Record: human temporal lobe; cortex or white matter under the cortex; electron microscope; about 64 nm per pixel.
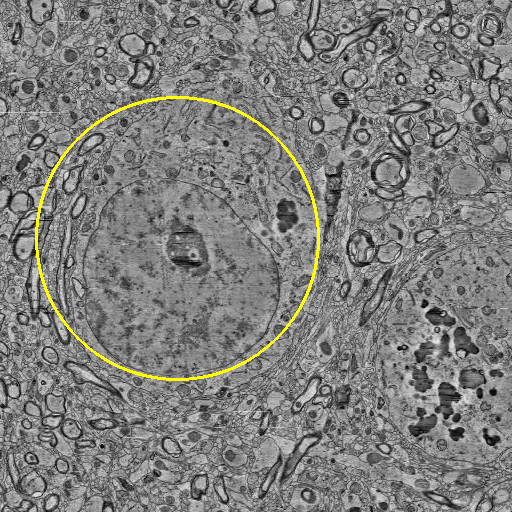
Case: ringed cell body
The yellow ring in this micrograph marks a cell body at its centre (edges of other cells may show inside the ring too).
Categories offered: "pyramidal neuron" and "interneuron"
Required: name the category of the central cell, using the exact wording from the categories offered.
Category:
interneuron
